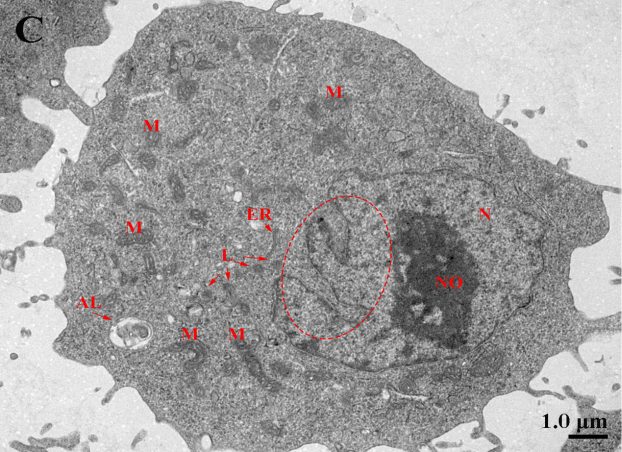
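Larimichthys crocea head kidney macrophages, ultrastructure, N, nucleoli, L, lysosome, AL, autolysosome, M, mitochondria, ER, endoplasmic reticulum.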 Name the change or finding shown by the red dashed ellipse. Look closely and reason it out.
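Concave nuclear membrane. The ellipse lies at the edge of the nucleus, beside the dark nucleolus. Within the ellipse the nuclear envelope folds inward rather than following a smooth round contour.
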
